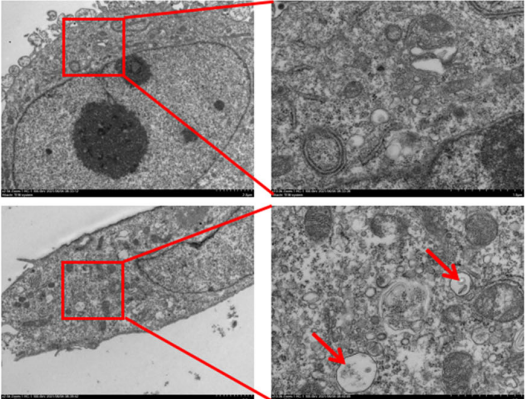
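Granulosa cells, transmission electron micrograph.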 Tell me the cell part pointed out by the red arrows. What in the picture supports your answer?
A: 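Autophagolysosomes. The red arrows point to rounded membrane-bound vacuoles in the cytoplasm at high magnification. The vacuoles hold pale, partly degraded material.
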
